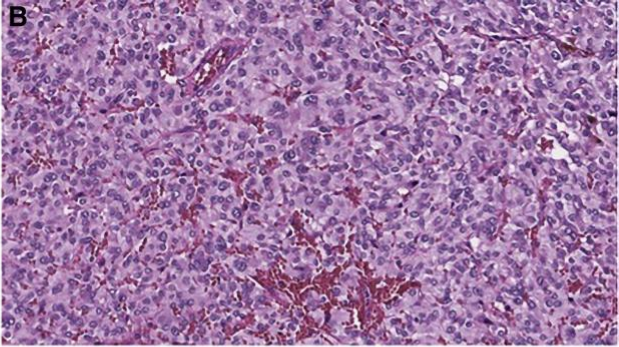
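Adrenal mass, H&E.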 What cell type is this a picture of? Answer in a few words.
large polygonal neoplastic cells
